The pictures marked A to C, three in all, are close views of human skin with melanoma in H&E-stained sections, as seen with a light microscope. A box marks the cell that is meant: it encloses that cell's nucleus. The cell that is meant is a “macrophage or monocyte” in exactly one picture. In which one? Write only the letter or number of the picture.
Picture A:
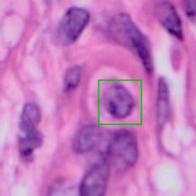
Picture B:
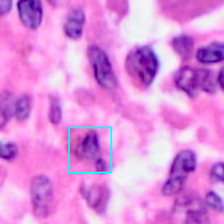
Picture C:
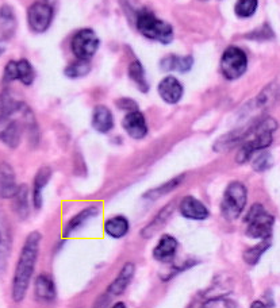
B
